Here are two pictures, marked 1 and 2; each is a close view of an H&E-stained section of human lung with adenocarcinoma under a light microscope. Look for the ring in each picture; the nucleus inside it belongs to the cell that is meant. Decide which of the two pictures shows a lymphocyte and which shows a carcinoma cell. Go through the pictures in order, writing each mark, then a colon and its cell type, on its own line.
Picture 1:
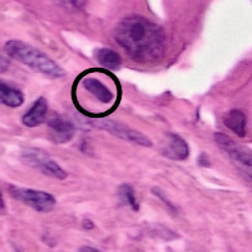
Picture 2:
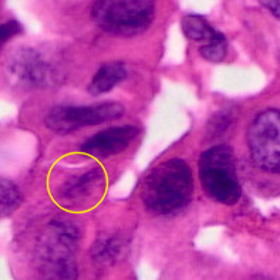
1: lymphocyte
2: carcinoma cell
